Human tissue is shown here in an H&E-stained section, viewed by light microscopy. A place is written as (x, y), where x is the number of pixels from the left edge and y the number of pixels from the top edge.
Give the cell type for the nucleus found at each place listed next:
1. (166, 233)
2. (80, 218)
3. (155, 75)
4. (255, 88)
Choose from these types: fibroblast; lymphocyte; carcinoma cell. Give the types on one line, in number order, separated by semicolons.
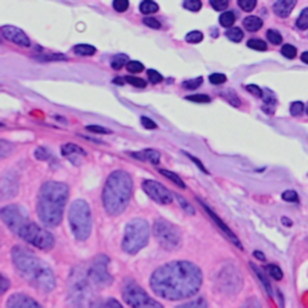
carcinoma cell; carcinoma cell; lymphocyte; lymphocyte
